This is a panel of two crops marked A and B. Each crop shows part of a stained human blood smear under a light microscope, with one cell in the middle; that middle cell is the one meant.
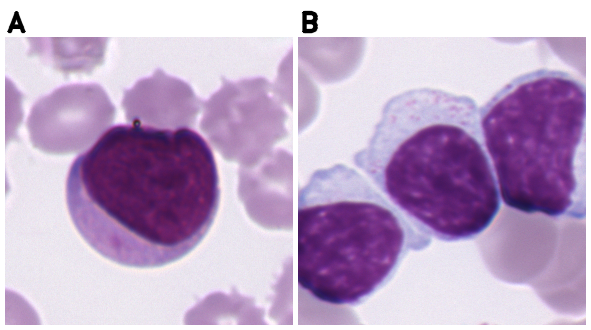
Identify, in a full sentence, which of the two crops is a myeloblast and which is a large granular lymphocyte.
In crop A, a myeloblast is present; in crop B, a large granular lymphocyte is present.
